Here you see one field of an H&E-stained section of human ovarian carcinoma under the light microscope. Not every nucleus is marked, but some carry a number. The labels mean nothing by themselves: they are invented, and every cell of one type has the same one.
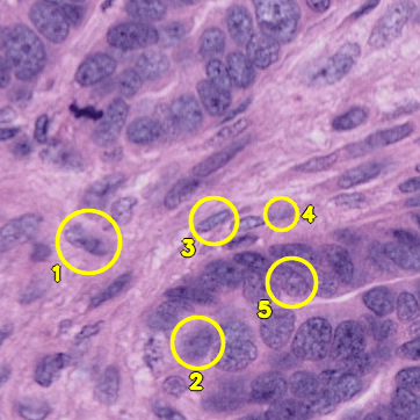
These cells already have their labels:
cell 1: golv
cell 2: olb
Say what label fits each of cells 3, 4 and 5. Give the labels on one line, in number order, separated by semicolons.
golv; golv; olb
